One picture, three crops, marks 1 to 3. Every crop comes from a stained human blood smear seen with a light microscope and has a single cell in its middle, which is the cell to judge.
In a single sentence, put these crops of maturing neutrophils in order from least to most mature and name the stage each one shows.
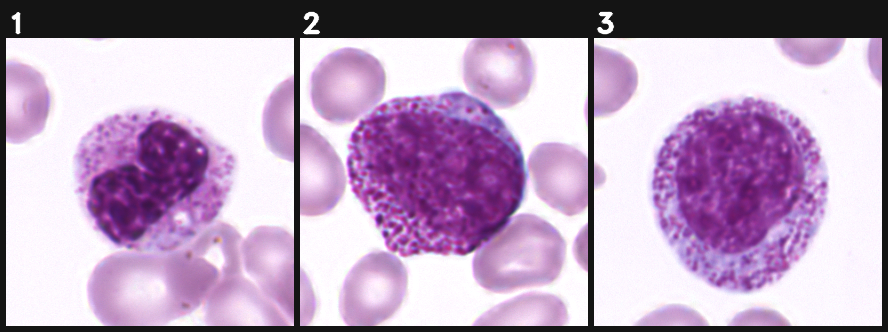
From least to most mature, the sequence is given by crop 2 (a promyelocyte), crop 3 (a myelocyte) and crop 1 (a band neutrophil).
